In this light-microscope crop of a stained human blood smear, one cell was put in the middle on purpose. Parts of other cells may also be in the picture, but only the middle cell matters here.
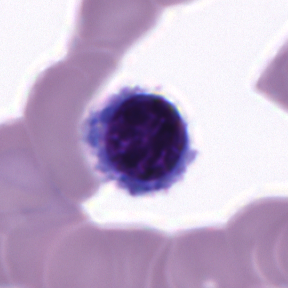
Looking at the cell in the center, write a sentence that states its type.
The cell featured at the centre of this crop is a plasma cell.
